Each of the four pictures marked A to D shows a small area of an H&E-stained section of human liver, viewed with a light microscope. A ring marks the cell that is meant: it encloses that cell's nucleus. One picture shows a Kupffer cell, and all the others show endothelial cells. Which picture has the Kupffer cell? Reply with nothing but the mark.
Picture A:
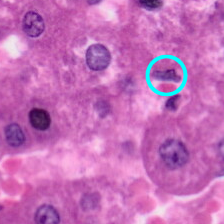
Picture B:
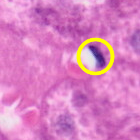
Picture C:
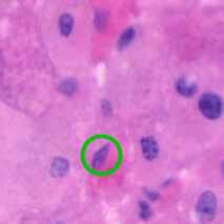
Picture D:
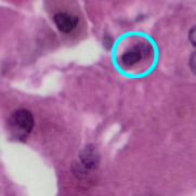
D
